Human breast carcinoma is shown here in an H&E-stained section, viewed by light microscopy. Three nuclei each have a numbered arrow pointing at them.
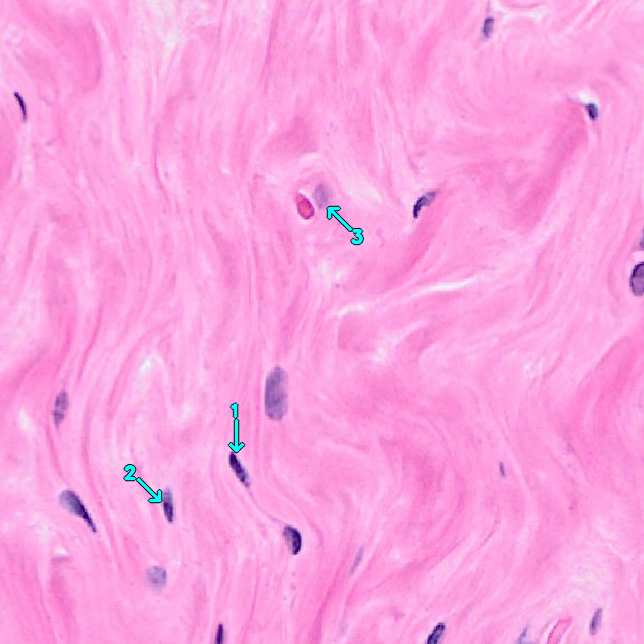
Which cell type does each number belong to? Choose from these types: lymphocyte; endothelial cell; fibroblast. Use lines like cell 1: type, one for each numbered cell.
cell 1: fibroblast
cell 2: fibroblast
cell 3: endothelial cell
